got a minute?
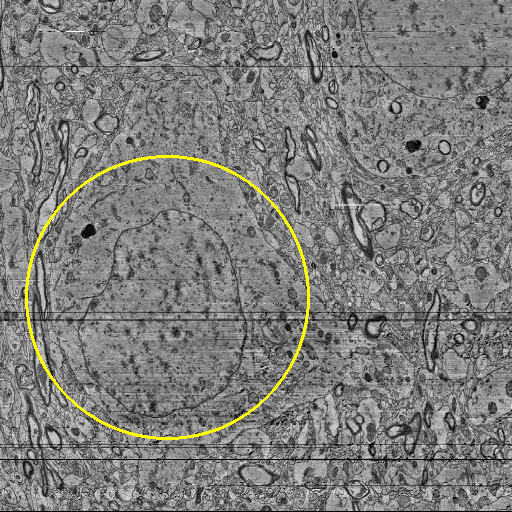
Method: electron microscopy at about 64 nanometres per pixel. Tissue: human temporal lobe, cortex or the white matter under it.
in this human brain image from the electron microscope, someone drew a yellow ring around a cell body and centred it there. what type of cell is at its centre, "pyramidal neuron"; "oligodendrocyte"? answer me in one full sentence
It's a pyramidal neuron at the middle of that yellow ring in the shot.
